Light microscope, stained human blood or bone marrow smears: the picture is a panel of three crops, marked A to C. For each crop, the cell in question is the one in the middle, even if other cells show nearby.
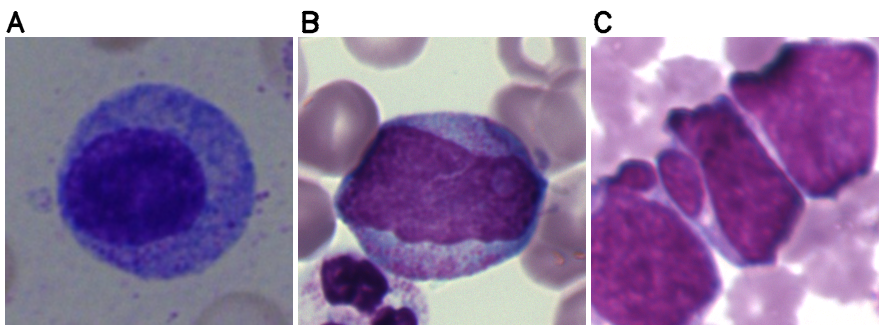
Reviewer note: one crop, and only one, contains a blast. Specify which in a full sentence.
Crop C is identified as the crop showing a blast.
